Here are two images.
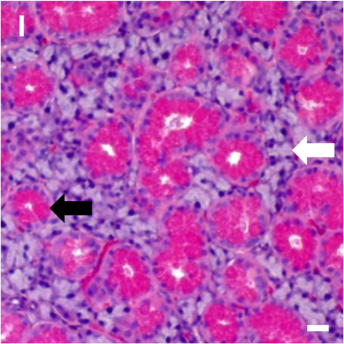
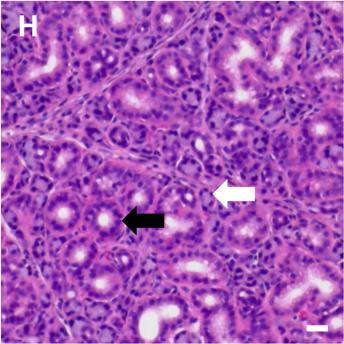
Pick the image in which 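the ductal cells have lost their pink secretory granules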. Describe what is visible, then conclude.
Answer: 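First image: many tubules have cells filled with bright pink granular cytoplasm. Second image: the tubules are lined by purple-staining cells with no bright pink granules.
The second image.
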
